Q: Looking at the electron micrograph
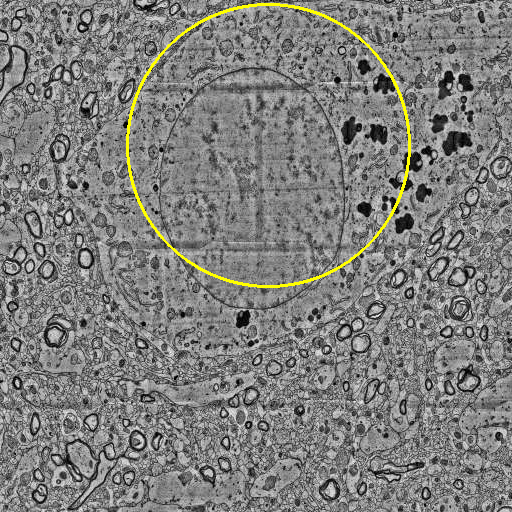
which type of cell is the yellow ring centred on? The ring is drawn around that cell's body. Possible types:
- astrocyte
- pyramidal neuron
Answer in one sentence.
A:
The yellow ring is centred on a pyramidal neuron.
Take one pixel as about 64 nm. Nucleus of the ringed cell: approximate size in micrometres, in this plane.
In this plane, roughly 15 by 12 micrometres.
